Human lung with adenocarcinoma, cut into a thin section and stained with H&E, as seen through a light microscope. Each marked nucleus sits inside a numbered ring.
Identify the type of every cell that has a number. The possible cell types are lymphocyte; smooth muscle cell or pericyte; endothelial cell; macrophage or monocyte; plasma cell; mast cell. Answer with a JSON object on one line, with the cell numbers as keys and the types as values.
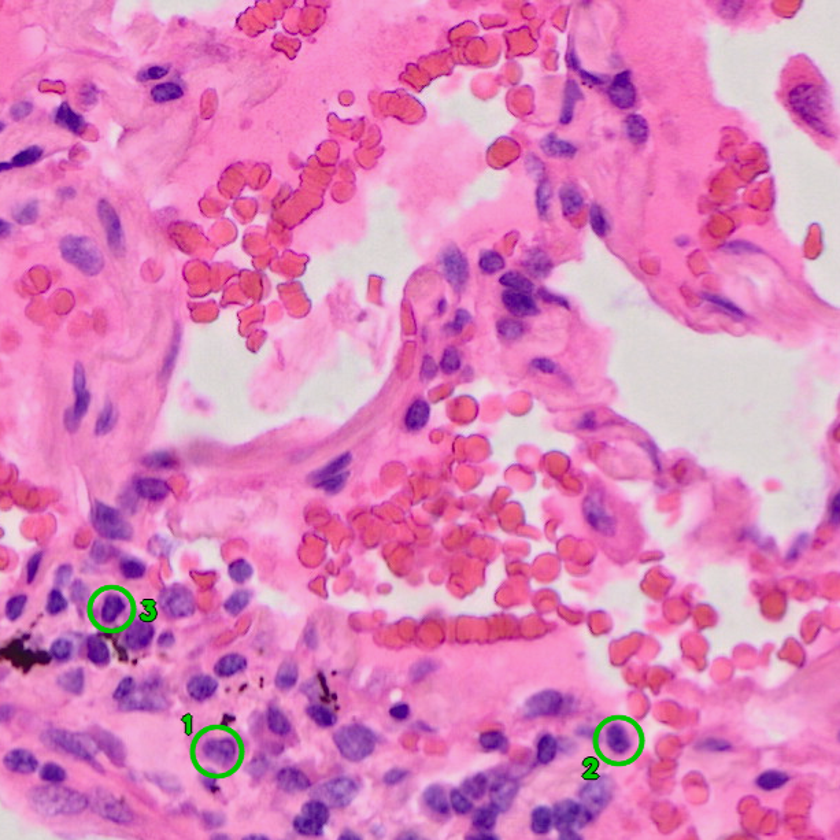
{"1": "plasma cell", "2": "lymphocyte", "3": "plasma cell"}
